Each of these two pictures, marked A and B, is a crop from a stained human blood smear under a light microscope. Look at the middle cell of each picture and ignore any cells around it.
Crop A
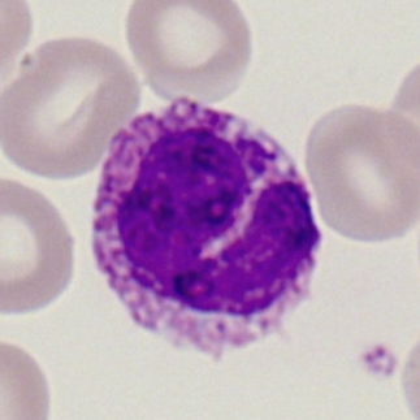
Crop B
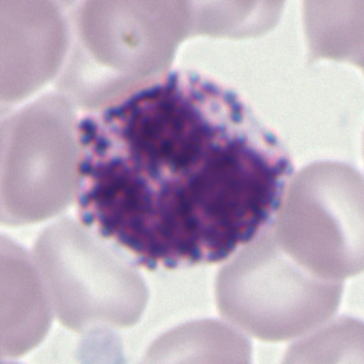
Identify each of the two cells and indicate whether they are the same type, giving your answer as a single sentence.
Yes, both crops show basophils, the one and the other.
